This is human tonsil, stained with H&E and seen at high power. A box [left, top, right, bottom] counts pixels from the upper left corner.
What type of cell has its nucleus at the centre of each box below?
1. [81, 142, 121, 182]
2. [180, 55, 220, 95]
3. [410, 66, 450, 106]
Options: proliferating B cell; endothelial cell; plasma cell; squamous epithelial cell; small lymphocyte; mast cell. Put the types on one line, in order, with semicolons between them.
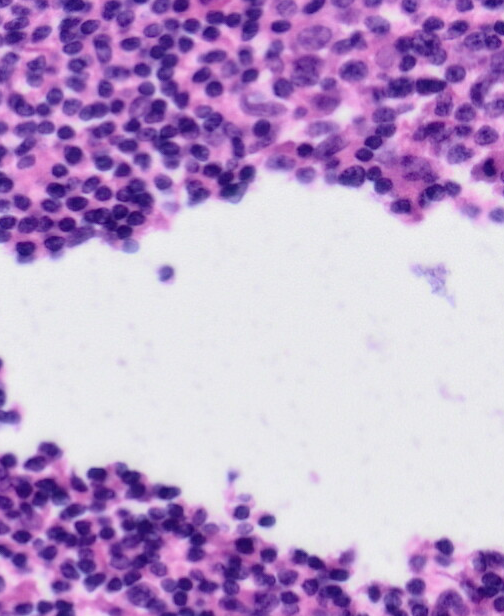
small lymphocyte; small lymphocyte; proliferating B cell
